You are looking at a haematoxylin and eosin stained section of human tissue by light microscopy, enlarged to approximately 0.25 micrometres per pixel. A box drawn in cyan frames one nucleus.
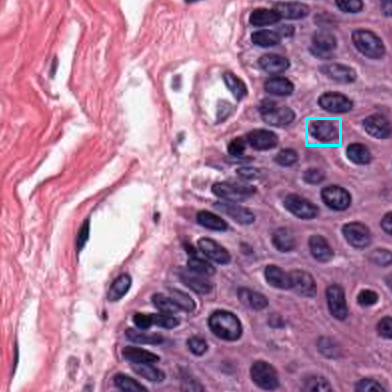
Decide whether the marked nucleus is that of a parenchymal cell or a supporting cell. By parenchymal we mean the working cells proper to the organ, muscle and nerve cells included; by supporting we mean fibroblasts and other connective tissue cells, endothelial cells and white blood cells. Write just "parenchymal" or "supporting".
parenchymal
